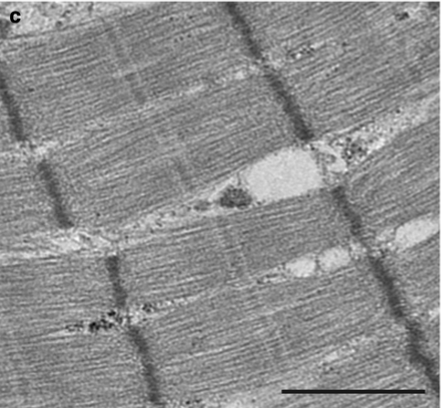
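Skeletal muscle fibre in longitudinal section showing several sarcomeres of neighbouring myofibrils at higher magnification. Each sarcomere is bounded by dark, dense transverse Z-discs, and fine parallel filaments run lengthwise between them, giving a finely striated texture. A faint paler transverse band lies midway between the Z-discs. Clusters of small dark granules sit between myofibrils near the Z-discs, and pale, rounded spaces lie in the narrow gaps separating the myofibrils. The Z-discs of adjacent myofibrils are roughly in register, and the filament pattern is regular and well preserved.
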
